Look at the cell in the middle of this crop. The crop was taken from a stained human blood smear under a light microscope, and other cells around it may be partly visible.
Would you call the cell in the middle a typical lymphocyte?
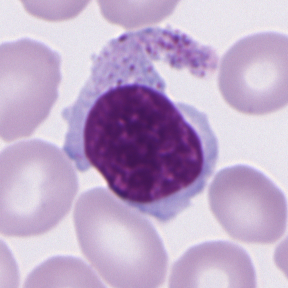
no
